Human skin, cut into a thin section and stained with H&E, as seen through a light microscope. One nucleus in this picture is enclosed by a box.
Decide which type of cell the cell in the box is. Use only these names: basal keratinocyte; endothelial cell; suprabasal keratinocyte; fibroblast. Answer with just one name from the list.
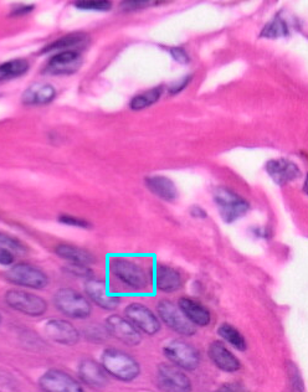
basal keratinocyte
